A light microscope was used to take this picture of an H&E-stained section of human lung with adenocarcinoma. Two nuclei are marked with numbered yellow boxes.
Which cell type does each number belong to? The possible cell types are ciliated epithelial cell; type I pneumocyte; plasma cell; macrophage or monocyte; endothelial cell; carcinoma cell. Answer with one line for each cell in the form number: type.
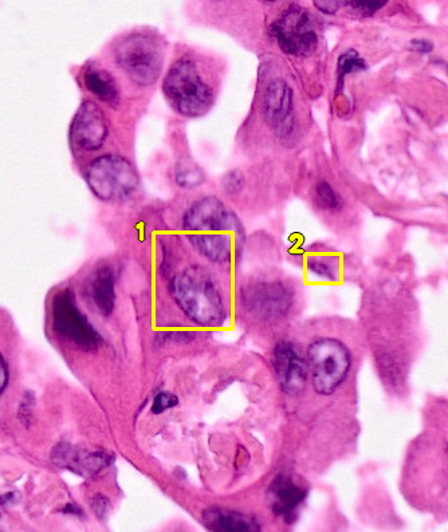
1: carcinoma cell
2: macrophage or monocyte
